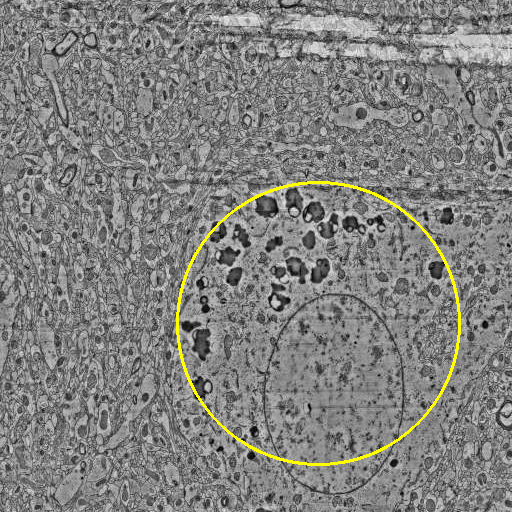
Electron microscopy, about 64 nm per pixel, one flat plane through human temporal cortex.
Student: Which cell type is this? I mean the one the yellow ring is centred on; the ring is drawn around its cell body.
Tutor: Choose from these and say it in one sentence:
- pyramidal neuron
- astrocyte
The cell the ring is centred on is a pyramidal neuron.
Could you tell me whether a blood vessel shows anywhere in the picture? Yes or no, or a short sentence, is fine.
No, the image shows no blood vessel.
